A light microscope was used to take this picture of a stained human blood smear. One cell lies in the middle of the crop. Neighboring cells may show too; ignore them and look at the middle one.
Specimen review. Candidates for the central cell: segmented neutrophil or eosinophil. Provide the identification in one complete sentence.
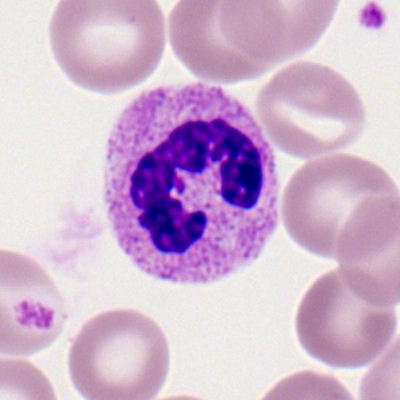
In the center of this field lies a segmented neutrophil.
